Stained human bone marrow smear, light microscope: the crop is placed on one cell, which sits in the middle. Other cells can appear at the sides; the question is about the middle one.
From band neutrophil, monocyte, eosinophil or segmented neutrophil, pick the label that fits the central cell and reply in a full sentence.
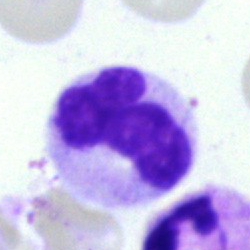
By classification, the middle cell of this crop is a band neutrophil.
